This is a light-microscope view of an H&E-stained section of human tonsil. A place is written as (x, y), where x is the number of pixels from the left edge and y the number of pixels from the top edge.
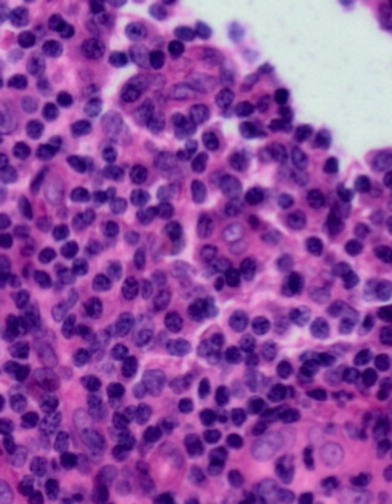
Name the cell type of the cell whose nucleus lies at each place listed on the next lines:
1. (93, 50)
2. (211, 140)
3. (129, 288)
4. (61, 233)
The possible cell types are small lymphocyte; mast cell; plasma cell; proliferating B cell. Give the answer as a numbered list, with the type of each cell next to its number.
1. plasma cell
2. plasma cell
3. plasma cell
4. small lymphocyte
